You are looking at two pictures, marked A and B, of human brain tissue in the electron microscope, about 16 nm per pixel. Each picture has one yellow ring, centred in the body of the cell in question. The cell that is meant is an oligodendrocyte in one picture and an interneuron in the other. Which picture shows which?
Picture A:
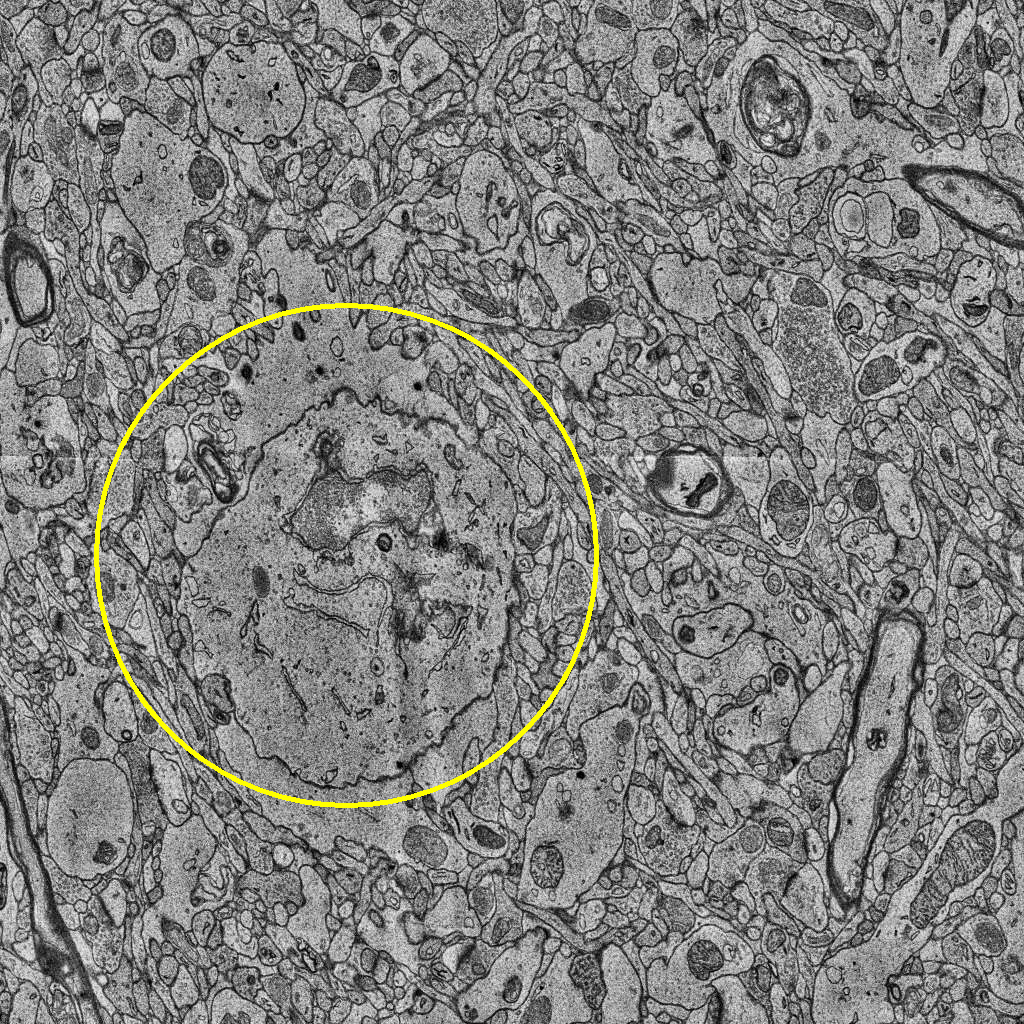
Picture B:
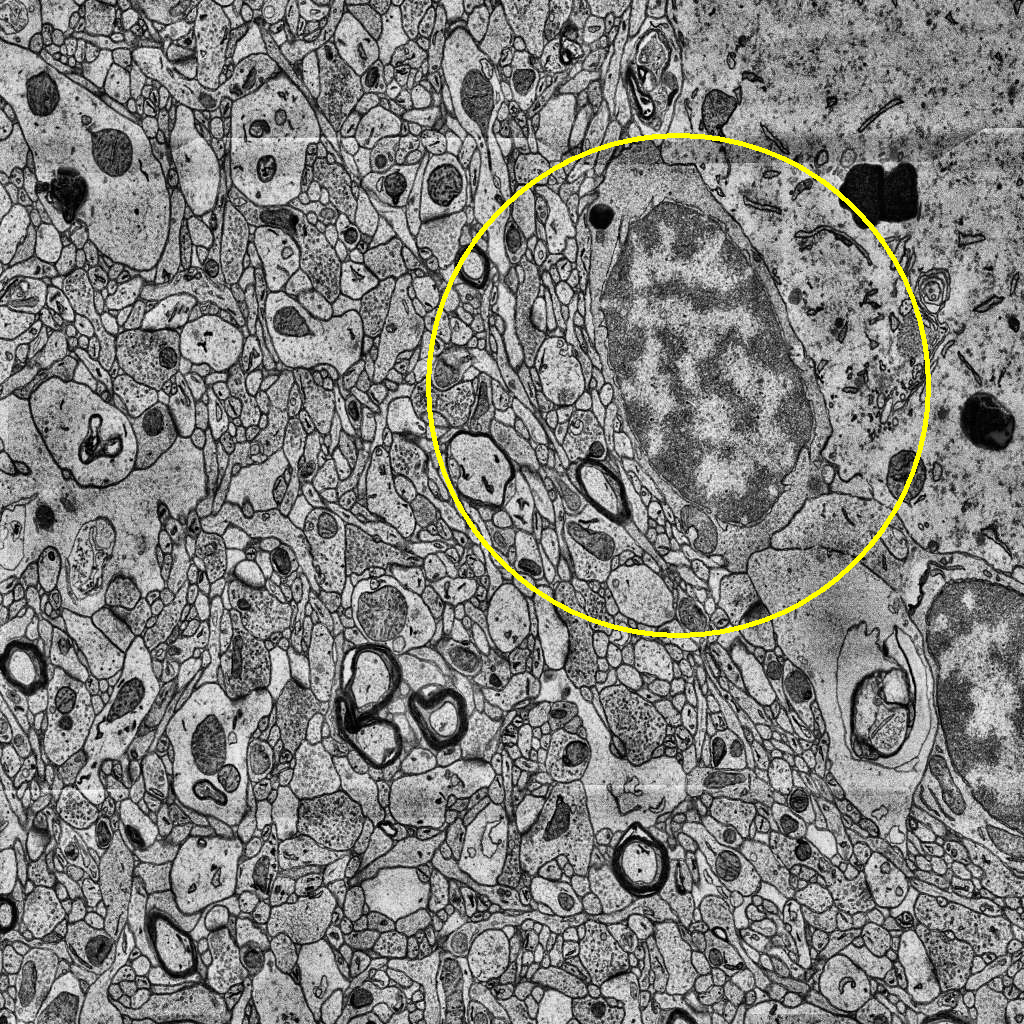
Picture A is of an interneuron, and picture B is of an oligodendrocyte.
